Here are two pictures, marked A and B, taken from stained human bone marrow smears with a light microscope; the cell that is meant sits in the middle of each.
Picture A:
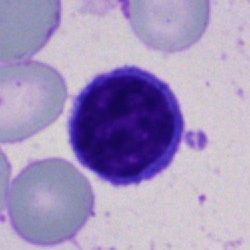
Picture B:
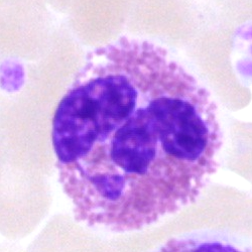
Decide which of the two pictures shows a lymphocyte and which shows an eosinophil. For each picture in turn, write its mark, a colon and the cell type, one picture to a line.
A: lymphocyte
B: eosinophil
